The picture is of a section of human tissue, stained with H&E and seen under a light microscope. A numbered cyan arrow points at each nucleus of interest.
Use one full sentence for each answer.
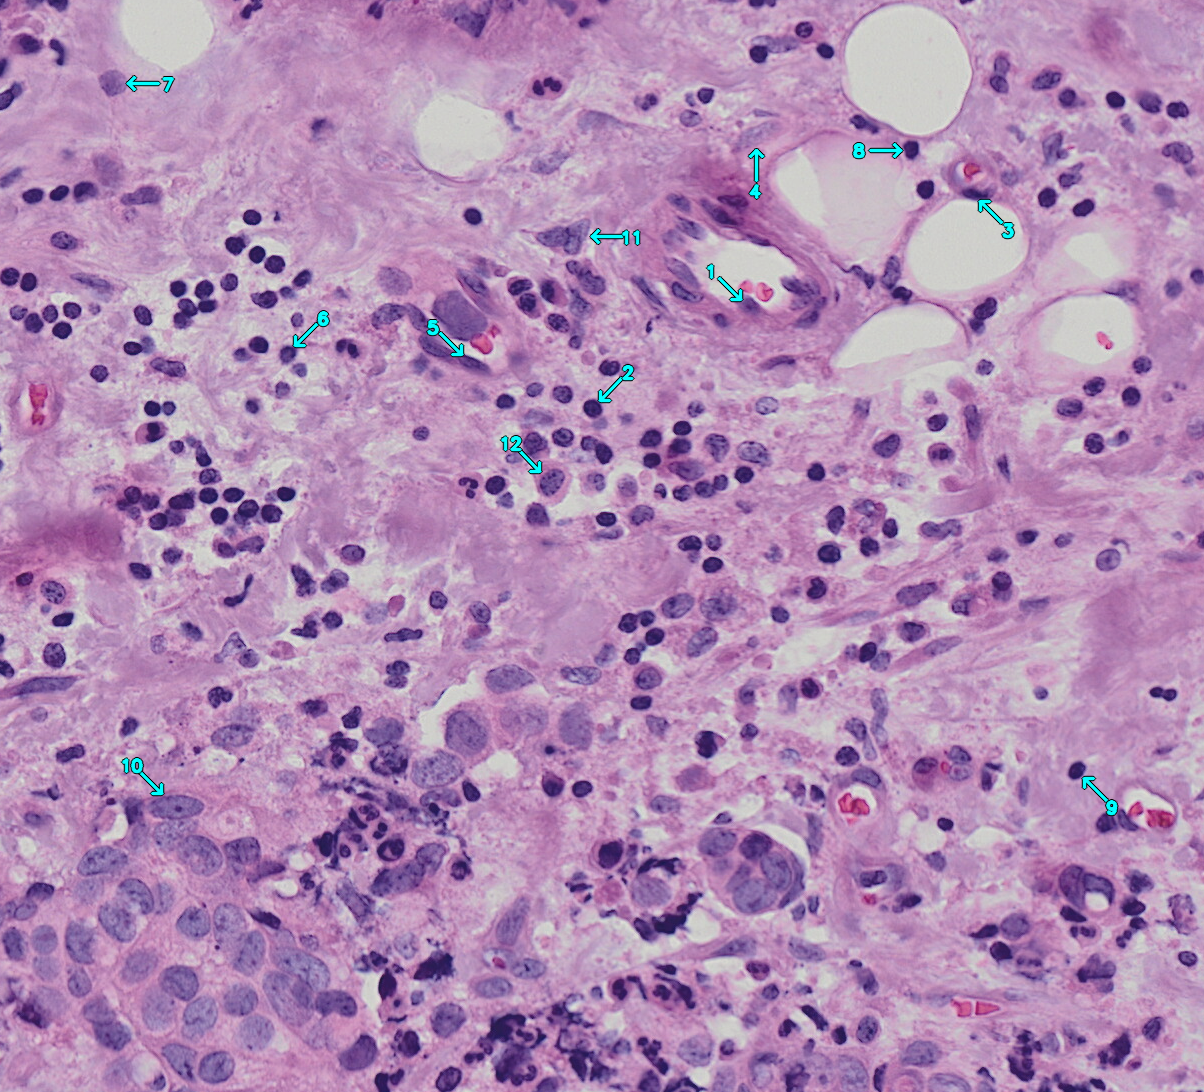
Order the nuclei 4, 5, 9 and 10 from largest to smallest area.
From largest to smallest, the order is 10, 4, 5, 9.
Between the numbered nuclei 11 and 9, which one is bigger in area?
Nucleus 11 is larger, with an area about 2 times that of nucleus 9.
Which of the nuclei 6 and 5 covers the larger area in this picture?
The larger nucleus is 5, at roughly 1.5 times the area of 6.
